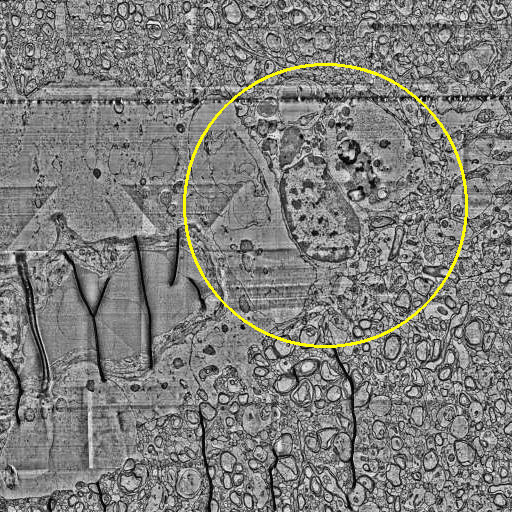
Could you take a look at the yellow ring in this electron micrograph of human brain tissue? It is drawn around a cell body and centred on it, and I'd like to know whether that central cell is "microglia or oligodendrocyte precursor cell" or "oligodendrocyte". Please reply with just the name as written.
microglia or oligodendrocyte precursor cell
